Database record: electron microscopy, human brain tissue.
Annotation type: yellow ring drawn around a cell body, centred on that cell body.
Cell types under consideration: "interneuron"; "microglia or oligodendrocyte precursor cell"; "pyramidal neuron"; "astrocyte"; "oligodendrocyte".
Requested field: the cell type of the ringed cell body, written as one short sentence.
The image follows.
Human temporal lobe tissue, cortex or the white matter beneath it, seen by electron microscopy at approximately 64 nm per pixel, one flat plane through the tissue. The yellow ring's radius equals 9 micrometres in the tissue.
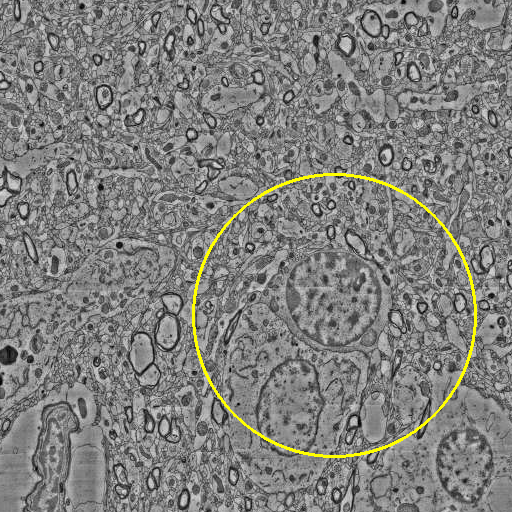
The ringed cell body represents an oligodendrocyte.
